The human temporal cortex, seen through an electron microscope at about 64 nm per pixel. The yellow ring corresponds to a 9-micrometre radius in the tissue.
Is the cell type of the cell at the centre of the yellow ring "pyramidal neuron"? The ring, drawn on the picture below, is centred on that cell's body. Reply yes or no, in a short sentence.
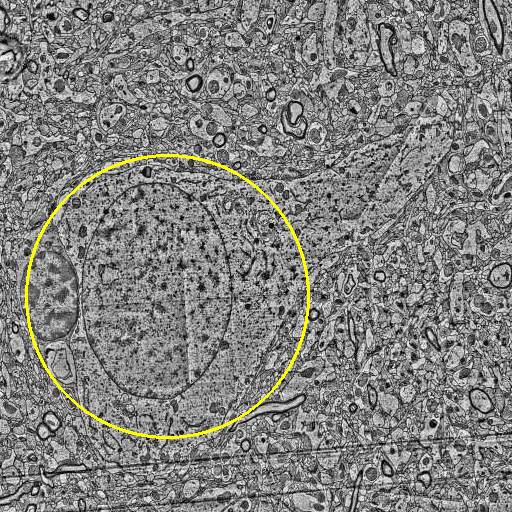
Yes, that is its cell type.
